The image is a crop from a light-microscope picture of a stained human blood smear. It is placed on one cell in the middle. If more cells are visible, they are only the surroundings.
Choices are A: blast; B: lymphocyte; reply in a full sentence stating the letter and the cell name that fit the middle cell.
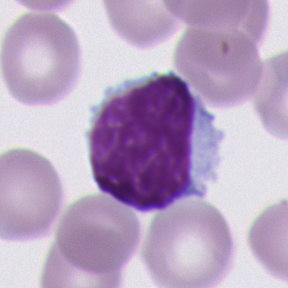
Option B is correct, naming the cell in the middle as a lymphocyte.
